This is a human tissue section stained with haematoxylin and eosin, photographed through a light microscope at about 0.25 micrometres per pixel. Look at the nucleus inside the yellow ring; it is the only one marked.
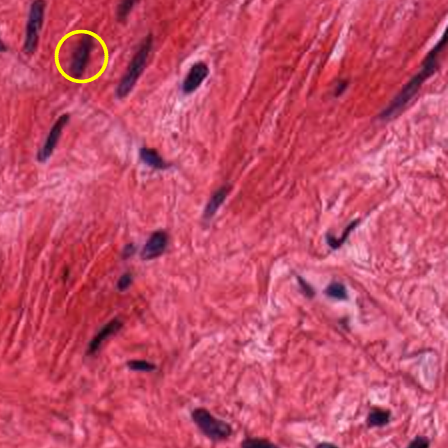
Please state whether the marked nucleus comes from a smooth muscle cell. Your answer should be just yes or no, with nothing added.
yes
